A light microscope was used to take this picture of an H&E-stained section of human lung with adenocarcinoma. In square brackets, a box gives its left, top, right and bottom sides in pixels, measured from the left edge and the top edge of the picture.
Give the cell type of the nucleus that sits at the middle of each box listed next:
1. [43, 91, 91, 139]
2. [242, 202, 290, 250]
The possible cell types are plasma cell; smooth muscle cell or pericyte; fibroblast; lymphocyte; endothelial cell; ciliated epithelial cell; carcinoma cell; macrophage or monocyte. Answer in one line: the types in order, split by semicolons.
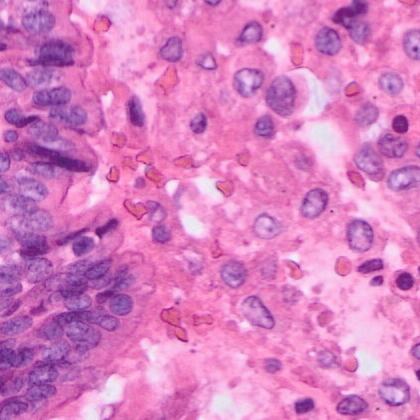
ciliated epithelial cell; macrophage or monocyte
